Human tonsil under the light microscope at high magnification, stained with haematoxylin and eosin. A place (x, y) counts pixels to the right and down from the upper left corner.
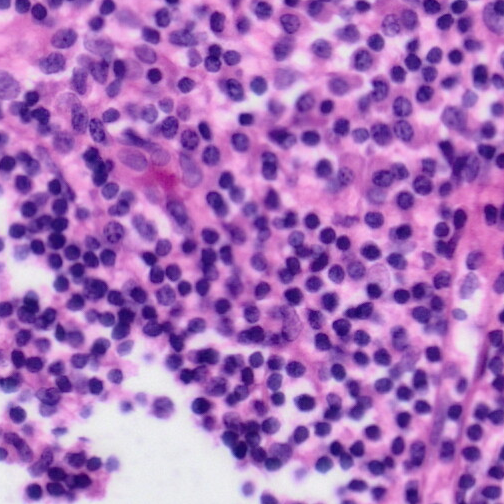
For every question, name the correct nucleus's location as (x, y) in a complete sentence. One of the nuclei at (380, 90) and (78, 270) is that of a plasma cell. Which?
The nucleus at (380, 90) is identified as belonging to a plasma cell.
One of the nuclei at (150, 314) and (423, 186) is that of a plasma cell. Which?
Answering which nucleus it is: the one at (423, 186), belonging to a plasma cell.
